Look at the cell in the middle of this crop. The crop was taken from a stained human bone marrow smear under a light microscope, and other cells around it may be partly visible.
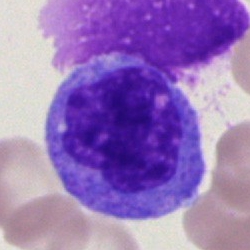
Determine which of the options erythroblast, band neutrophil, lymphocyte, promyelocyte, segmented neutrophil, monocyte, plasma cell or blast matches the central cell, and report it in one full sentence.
The cell at the heart of this crop is a monocyte.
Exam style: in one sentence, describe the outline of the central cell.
If you check the edge, you will find it smooth without projections.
